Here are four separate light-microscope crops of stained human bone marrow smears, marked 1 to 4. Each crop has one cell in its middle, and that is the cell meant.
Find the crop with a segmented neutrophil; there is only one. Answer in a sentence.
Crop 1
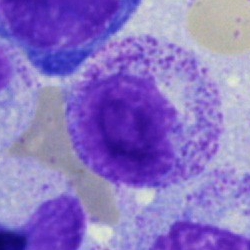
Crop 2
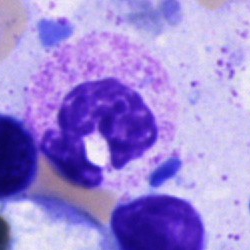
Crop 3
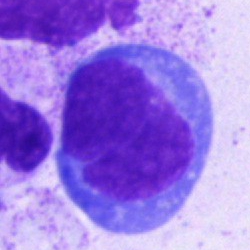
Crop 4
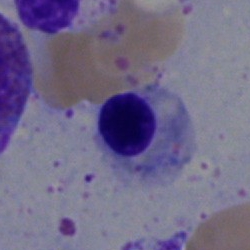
Crop 2 is where a segmented neutrophil is shown.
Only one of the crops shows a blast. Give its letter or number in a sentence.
The crop marked 3 is the one in which a blast is shown.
